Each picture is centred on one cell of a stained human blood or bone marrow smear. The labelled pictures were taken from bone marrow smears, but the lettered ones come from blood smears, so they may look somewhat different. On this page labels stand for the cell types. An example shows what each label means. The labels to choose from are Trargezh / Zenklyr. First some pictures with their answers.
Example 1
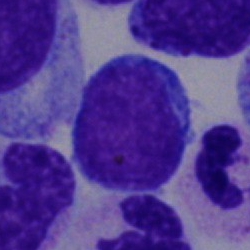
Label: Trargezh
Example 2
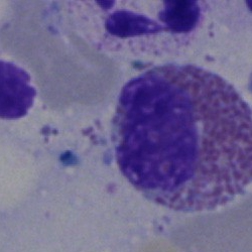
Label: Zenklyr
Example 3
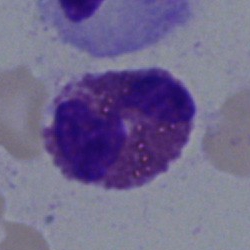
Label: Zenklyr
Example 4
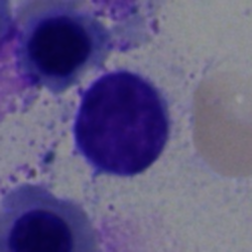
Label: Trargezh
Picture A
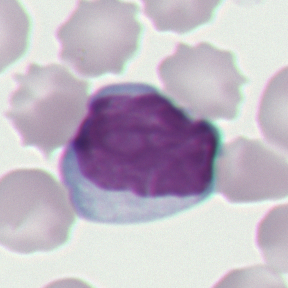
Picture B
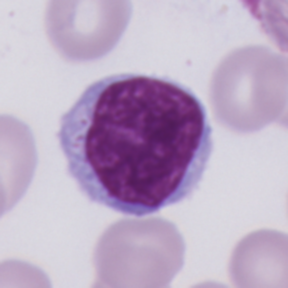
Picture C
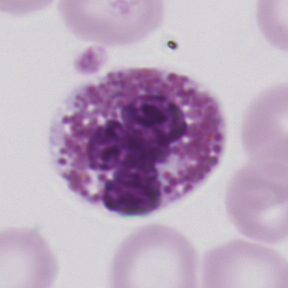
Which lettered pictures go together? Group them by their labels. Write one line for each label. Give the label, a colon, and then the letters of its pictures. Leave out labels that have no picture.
Trargezh: A, B
Zenklyr: C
